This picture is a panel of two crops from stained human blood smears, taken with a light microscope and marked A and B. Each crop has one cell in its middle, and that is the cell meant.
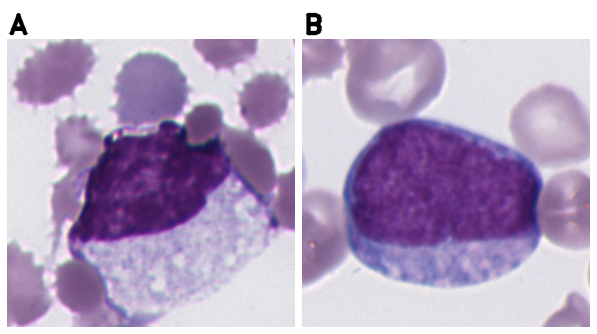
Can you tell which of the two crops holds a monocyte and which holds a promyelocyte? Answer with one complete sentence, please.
Crop B is a promyelocyte, while crop A is a monocyte.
